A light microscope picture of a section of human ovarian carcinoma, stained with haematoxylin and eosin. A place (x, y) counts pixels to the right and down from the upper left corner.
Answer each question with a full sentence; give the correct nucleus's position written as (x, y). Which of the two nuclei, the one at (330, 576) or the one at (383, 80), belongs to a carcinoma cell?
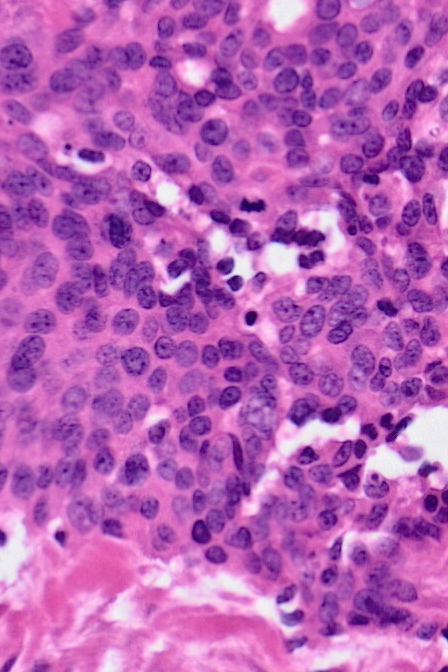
The nucleus at (383, 80) is housed in a carcinoma cell.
